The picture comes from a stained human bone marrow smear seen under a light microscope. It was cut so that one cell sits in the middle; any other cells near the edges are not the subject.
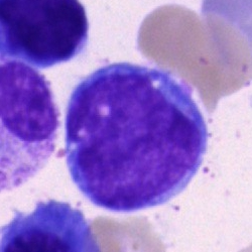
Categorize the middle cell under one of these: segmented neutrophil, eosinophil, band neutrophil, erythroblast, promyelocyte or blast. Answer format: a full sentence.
Among the cells in view, the one in the middle is a blast.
